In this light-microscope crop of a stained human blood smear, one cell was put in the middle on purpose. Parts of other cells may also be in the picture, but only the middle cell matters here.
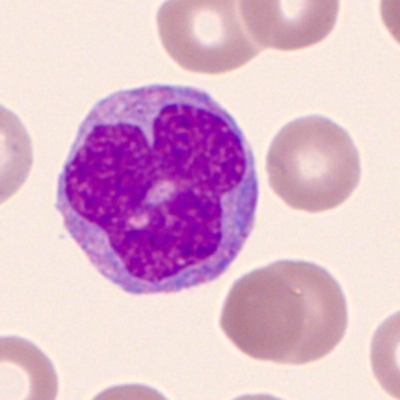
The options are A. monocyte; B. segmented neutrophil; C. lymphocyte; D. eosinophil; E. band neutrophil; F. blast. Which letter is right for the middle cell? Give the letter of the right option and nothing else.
A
